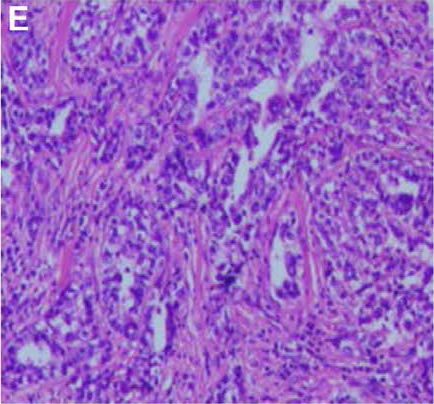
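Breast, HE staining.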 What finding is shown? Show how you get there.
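Cells lie crowded in irregular sheets and cords with no consistent orientation. Pink fibrous strands run between cell groups in different directions.
Answer: disordered cell arrangement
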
